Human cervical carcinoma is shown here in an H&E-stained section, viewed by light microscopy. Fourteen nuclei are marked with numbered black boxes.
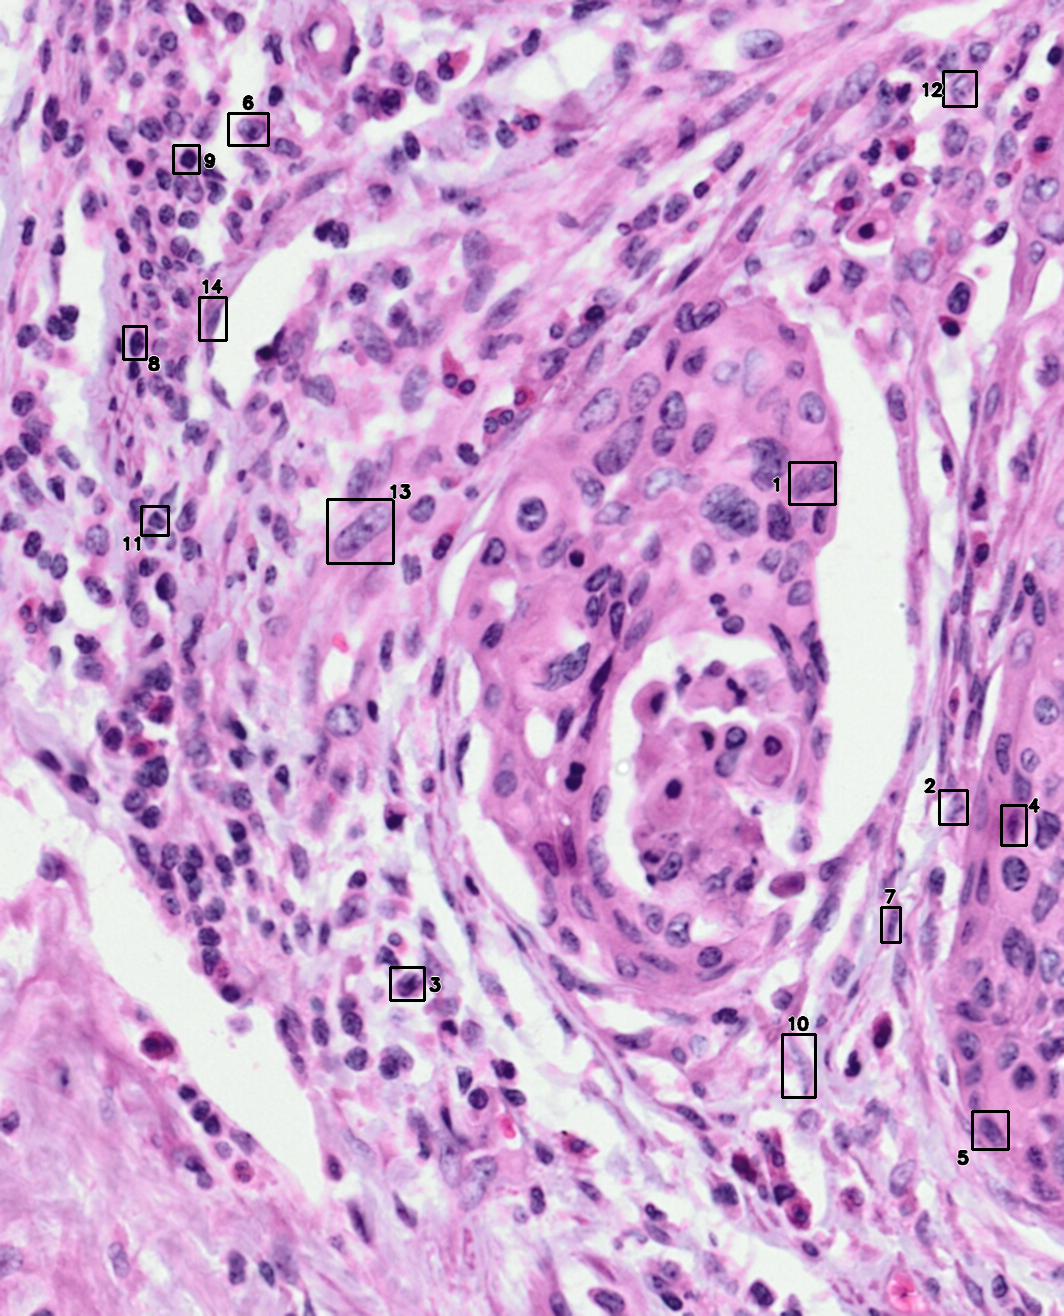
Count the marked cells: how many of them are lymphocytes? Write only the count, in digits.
4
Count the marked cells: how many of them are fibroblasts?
3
